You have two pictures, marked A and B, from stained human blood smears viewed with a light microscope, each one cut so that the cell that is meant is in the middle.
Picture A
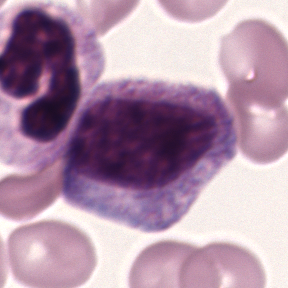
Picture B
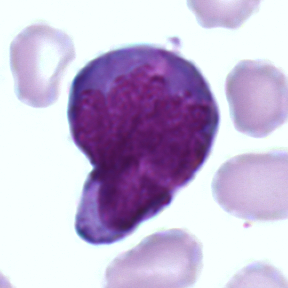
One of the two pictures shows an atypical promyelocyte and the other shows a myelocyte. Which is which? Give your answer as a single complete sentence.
Picture B shows an atypical promyelocyte, while picture A shows a myelocyte.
